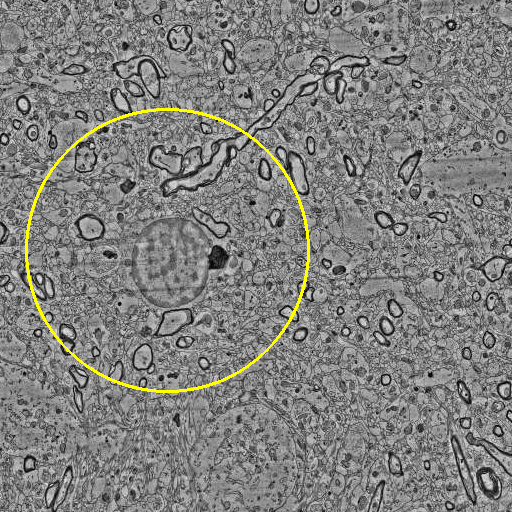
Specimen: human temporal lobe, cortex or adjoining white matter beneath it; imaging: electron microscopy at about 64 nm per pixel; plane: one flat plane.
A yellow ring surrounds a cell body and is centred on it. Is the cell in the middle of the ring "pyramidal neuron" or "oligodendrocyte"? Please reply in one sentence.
The ring is centred on an oligodendrocyte.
